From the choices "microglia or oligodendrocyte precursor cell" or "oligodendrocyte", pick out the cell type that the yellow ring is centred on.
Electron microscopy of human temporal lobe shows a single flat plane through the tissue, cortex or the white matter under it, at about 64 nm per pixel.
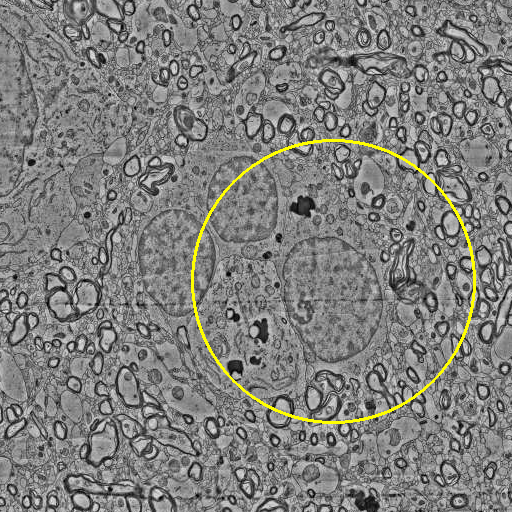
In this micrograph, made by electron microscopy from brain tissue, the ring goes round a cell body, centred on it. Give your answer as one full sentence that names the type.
The yellow ring is centred on an oligodendrocyte, whose cell body it encircles in the picture.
